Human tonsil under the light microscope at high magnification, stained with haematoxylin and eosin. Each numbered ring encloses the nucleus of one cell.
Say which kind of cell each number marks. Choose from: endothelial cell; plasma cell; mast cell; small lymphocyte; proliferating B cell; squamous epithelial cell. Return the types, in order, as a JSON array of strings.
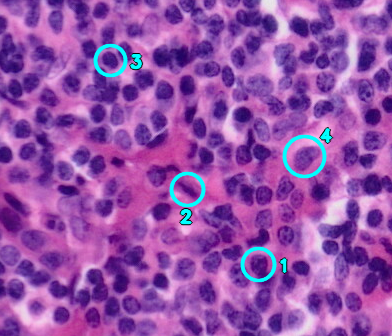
["plasma cell", "endothelial cell", "small lymphocyte", "endothelial cell"]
